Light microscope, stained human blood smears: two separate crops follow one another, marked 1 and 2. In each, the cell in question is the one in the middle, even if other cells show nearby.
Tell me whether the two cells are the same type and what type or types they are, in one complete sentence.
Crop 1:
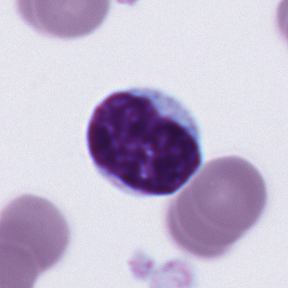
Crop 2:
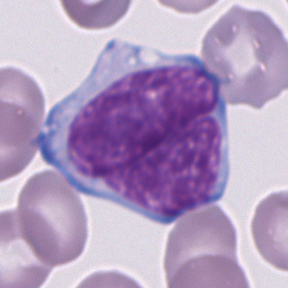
No, crop 1 shows a typical lymphocyte and crop 2 shows a myeloblast.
